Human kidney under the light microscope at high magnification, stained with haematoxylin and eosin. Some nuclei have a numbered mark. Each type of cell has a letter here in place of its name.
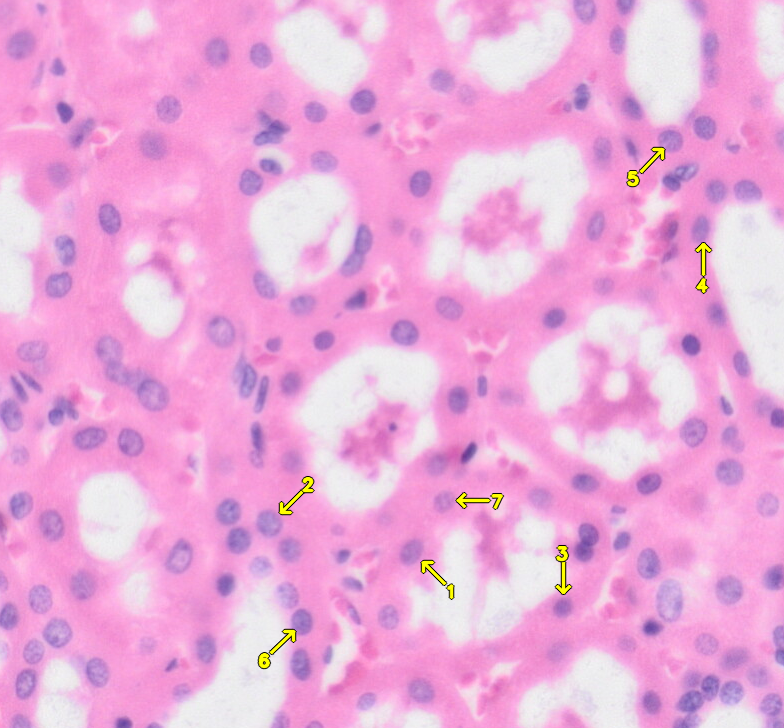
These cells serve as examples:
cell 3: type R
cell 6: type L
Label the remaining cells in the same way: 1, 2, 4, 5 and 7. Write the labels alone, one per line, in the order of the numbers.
type R
type L
type L
type L
type R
